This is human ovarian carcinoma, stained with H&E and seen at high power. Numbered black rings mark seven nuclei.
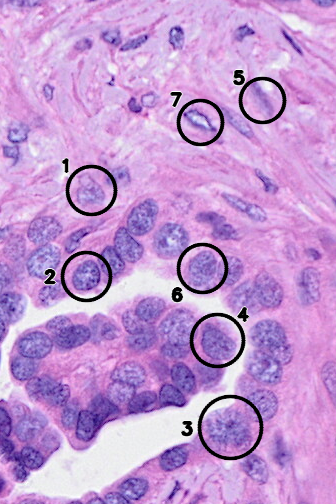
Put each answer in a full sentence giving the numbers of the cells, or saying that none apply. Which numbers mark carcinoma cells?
The cells to which the numbers 2, 3, 4 and 6 refer are carcinoma cells.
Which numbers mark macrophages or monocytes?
The marked and numbered cells comprise no macrophages or monocytes.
